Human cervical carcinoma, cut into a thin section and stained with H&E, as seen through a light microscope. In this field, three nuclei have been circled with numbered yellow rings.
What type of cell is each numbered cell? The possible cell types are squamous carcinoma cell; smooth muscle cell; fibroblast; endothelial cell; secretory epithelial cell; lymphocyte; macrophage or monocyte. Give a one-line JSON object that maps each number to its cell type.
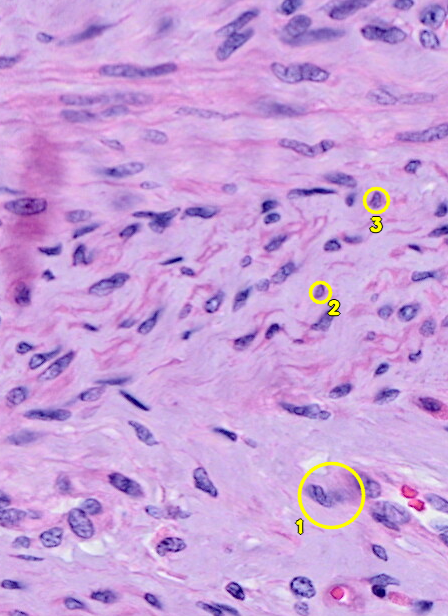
{"1": "endothelial cell", "2": "smooth muscle cell", "3": "smooth muscle cell"}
